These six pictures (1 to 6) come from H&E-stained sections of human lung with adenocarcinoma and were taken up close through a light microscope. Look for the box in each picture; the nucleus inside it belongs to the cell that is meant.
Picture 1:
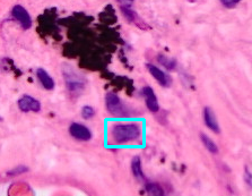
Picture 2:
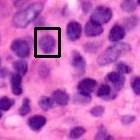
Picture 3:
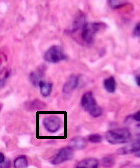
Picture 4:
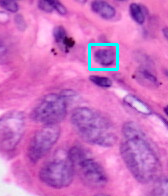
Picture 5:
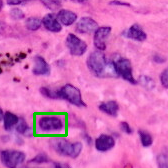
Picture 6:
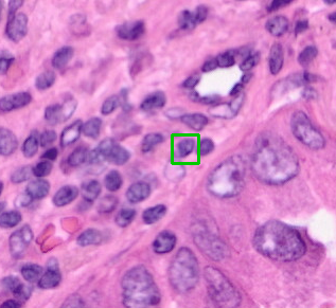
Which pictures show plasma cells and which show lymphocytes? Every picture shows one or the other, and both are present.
1: plasma cell
2: lymphocyte
3: lymphocyte
4: plasma cell
5: plasma cell
6: lymphocyte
